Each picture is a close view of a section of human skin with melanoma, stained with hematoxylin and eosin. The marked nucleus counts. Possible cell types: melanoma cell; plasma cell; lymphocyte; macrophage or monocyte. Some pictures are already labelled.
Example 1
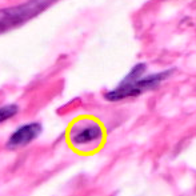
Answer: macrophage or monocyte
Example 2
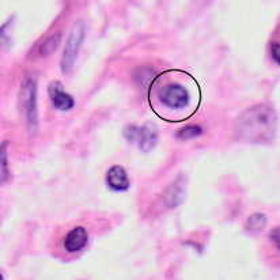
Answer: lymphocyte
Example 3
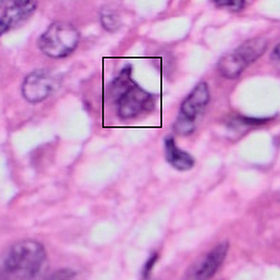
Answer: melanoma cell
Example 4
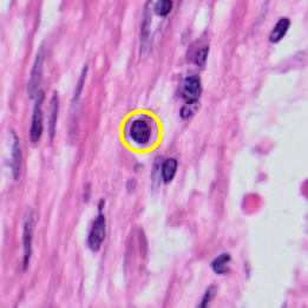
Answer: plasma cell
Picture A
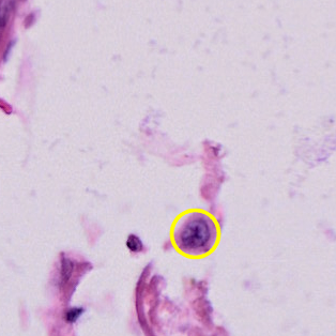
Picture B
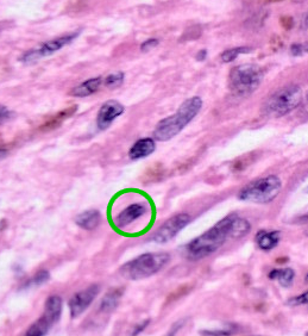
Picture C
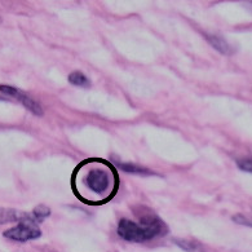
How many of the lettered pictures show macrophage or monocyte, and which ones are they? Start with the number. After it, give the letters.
0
